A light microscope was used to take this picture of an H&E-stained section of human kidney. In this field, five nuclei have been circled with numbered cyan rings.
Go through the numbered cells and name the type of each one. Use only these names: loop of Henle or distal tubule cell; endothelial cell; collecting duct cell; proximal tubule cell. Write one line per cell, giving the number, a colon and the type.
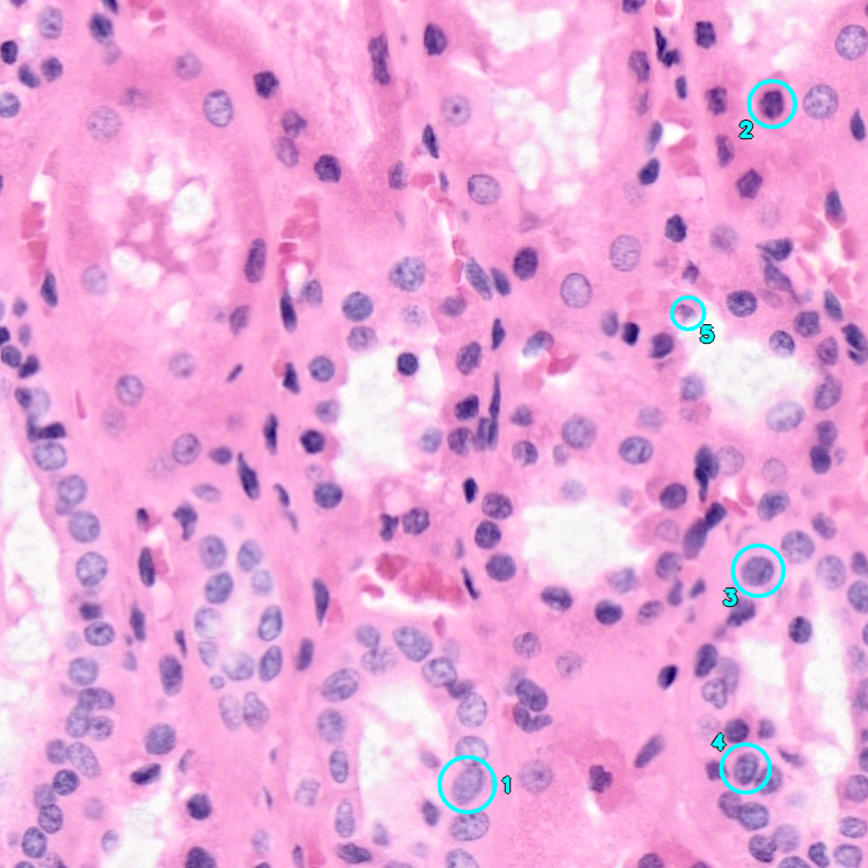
1: collecting duct cell
2: proximal tubule cell
3: collecting duct cell
4: collecting duct cell
5: loop of Henle or distal tubule cell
